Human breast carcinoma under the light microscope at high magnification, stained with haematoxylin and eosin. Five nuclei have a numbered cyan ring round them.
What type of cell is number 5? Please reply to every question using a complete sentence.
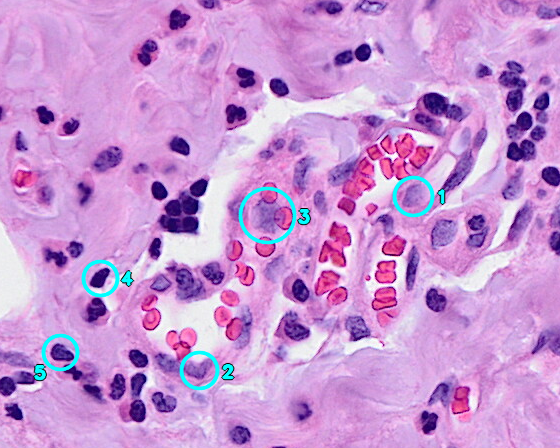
Recognised here as a lymphocyte is the cell numbered 5.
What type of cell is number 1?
The cell pointed out by number 1 is an endothelial cell.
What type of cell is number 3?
The cell carrying label 3 is identified as an endothelial cell.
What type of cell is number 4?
The cell identified by the number 4 is a lymphocyte.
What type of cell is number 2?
The cell with the number 2 is an endothelial cell.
